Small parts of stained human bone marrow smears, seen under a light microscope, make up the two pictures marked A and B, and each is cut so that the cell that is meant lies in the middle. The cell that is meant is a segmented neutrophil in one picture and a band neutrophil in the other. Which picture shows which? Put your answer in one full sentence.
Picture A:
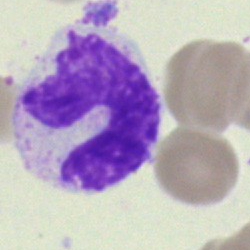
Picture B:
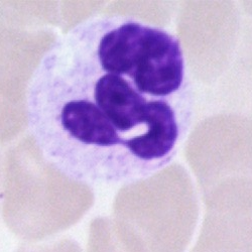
In picture A the cell is a band neutrophil; in picture B, a segmented neutrophil.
